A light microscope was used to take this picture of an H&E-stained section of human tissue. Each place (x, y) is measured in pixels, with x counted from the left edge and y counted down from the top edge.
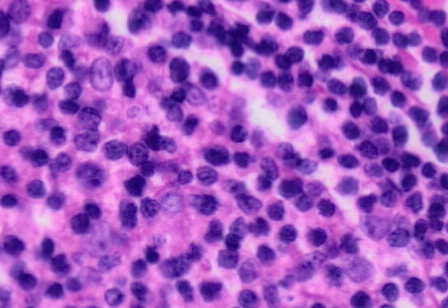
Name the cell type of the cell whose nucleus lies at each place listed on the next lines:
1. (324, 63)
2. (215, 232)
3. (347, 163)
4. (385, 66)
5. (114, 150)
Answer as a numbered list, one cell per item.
1. small lymphocyte
2. proliferating B cell
3. small lymphocyte
4. small lymphocyte
5. proliferating B cell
